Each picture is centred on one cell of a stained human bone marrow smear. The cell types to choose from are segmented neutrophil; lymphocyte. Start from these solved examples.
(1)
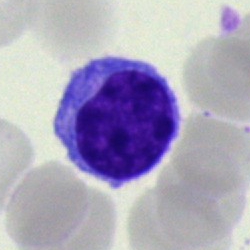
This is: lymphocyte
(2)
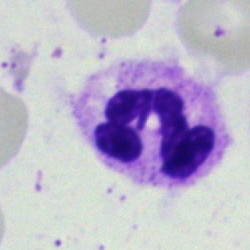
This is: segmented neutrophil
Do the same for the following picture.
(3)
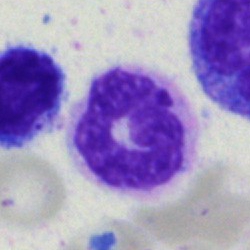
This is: segmented neutrophil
